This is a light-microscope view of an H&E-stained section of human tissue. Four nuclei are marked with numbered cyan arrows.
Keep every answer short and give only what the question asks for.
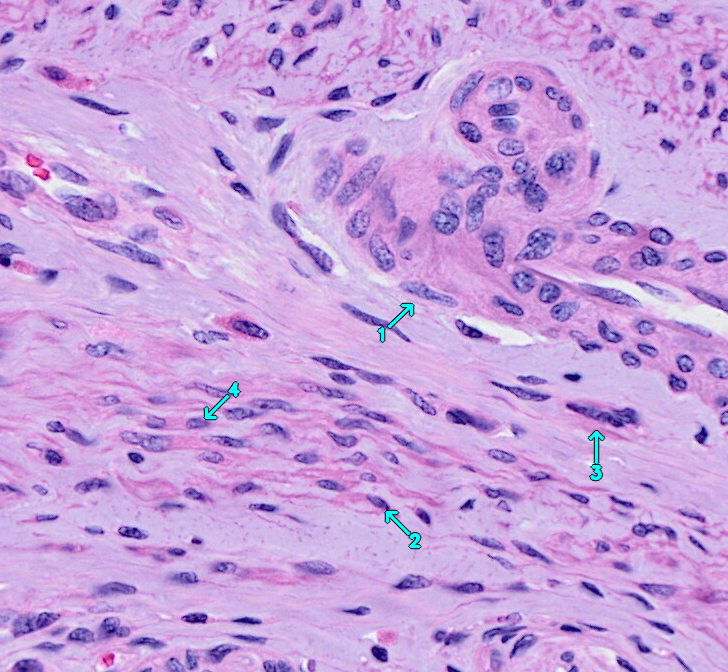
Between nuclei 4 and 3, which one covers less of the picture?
4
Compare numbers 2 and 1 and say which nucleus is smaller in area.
2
